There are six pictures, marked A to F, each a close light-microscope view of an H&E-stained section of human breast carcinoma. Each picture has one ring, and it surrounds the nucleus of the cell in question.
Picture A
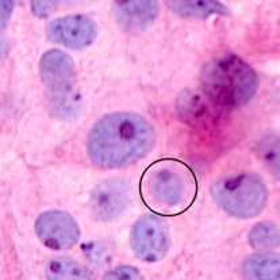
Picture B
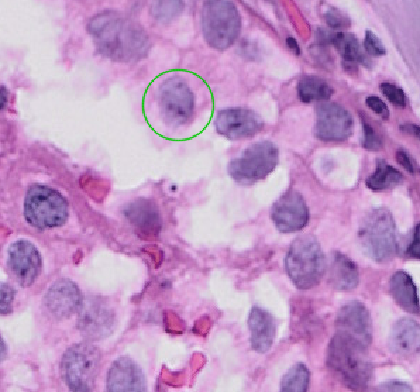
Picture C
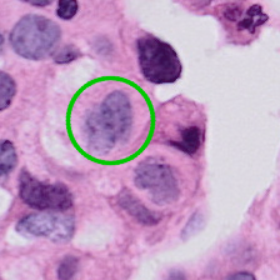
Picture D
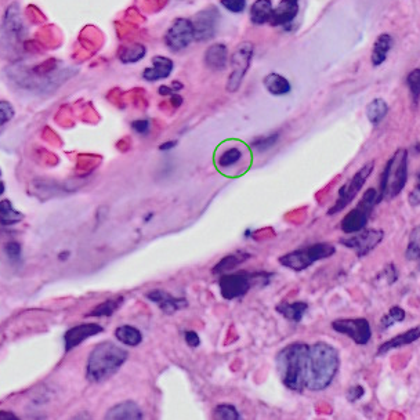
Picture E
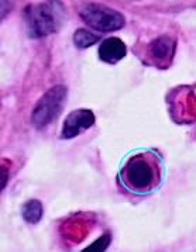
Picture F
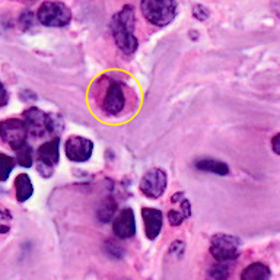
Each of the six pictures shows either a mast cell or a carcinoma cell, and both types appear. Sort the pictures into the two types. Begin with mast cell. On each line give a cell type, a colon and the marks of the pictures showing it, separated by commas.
mast cell: D, E, F
carcinoma cell: A, B, C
